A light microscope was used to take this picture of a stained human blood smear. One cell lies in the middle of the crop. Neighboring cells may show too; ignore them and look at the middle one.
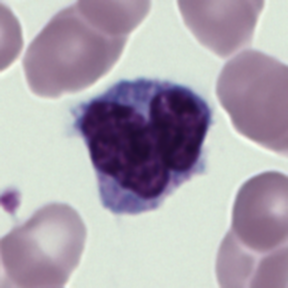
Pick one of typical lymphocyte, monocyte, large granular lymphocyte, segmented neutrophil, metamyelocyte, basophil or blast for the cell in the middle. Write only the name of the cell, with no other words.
monocyte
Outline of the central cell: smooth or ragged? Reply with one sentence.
No smooth contour is present; the border is ragged or extended into projections.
